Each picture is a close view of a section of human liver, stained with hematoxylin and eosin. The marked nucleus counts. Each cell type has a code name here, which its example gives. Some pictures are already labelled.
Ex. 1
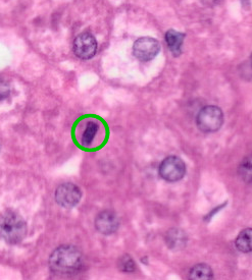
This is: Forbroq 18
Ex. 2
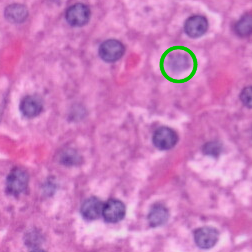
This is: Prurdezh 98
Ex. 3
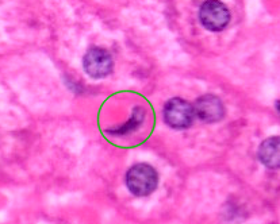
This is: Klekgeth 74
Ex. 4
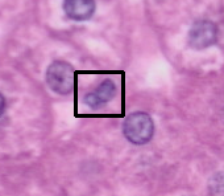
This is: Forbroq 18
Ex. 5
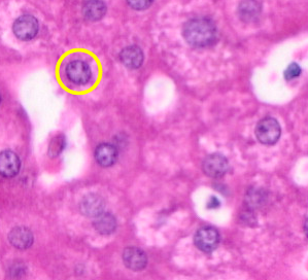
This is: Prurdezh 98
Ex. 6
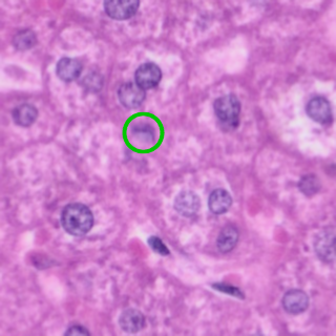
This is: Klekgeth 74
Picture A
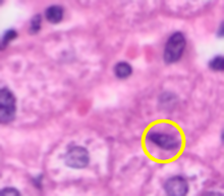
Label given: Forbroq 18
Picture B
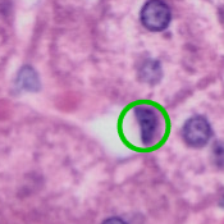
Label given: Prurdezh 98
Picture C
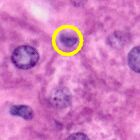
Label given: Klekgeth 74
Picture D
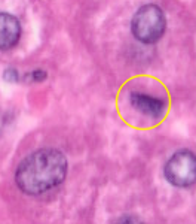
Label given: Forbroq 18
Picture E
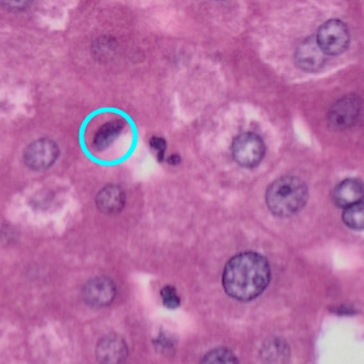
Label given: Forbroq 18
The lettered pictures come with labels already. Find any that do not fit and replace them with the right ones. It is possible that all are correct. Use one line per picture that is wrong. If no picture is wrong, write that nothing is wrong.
B is labelled Prurdezh 98; correct label: Klekgeth 74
